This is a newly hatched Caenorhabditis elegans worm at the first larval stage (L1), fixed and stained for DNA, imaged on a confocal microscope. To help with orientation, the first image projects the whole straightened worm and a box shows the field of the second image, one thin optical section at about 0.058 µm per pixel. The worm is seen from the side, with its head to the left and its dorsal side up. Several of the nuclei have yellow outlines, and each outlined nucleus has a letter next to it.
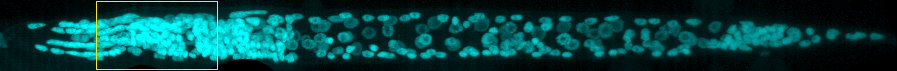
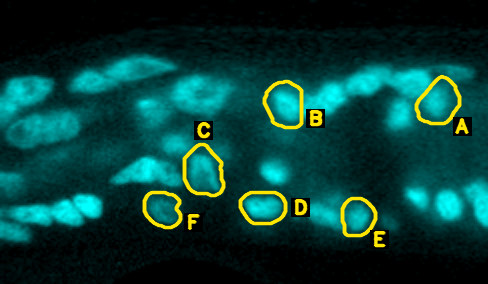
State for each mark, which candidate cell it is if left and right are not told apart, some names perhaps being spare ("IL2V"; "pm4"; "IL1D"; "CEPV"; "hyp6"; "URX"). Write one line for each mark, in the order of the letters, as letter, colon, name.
A: URX
B: IL1D
C: pm4
D: IL2V
E: CEPV
F: hyp6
